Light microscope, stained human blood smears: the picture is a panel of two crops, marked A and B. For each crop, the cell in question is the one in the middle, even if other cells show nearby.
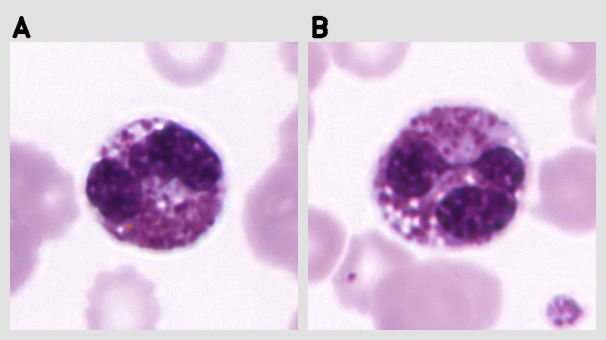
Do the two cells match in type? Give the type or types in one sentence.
Yes, both crops show eosinophils, and that holds for each one.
